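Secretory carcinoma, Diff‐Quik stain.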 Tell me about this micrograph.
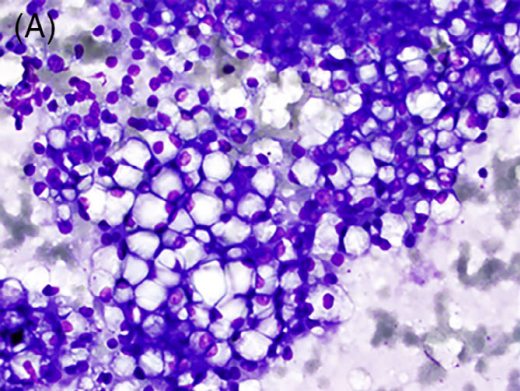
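A large cohesive fragment of tumor cells lies on a pale background with scattered smaller dark cells. Many of the cells contain large, clear, round cytoplasmic vacuoles that give the cluster a bubbly, honeycomb look. The nuclei are round and fairly uniform, dark purple, and often pushed to the edge of the cell by the vacuoles.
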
